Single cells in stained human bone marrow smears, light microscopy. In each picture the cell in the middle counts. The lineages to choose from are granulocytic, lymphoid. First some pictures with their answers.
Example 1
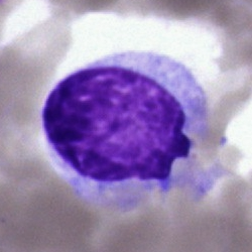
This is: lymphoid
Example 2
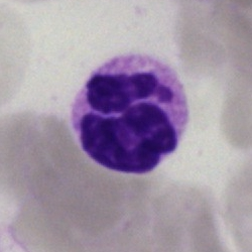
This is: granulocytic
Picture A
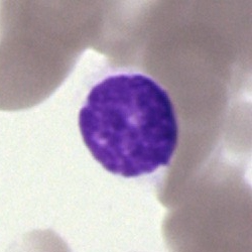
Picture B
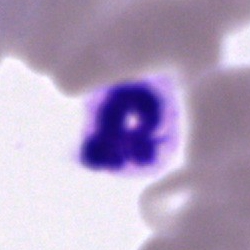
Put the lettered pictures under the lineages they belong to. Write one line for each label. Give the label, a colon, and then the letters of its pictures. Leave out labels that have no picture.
granulocytic: B
lymphoid: A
